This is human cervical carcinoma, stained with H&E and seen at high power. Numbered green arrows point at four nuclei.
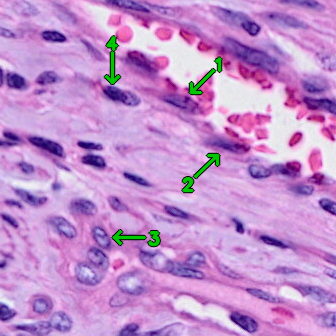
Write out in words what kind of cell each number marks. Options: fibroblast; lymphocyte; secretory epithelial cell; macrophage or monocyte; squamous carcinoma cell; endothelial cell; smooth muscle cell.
Cells 1, 2 and 3 are endothelial cells. Cell 4 is a lymphocyte.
